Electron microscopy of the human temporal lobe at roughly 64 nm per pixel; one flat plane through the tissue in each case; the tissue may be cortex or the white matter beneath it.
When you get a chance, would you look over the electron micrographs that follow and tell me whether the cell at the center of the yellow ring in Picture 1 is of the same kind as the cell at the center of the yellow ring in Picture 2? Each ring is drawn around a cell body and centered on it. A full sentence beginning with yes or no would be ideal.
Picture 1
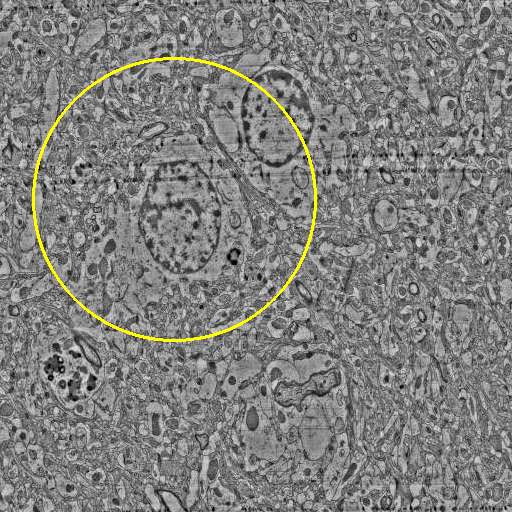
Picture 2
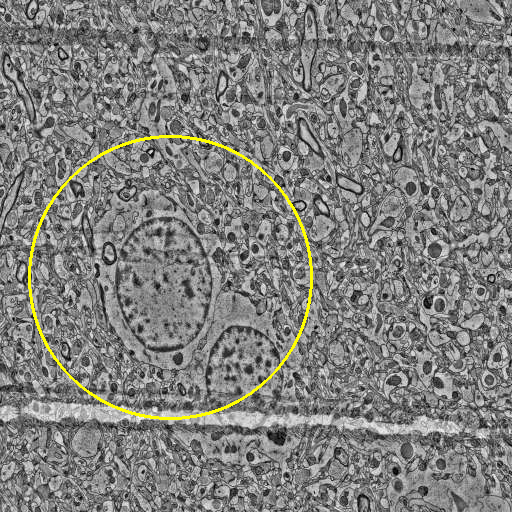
Yes, the two cells are of the same kind.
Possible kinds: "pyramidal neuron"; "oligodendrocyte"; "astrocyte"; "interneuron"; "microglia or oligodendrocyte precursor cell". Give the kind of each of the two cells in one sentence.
The second cell is an astrocyte, just as the first is.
